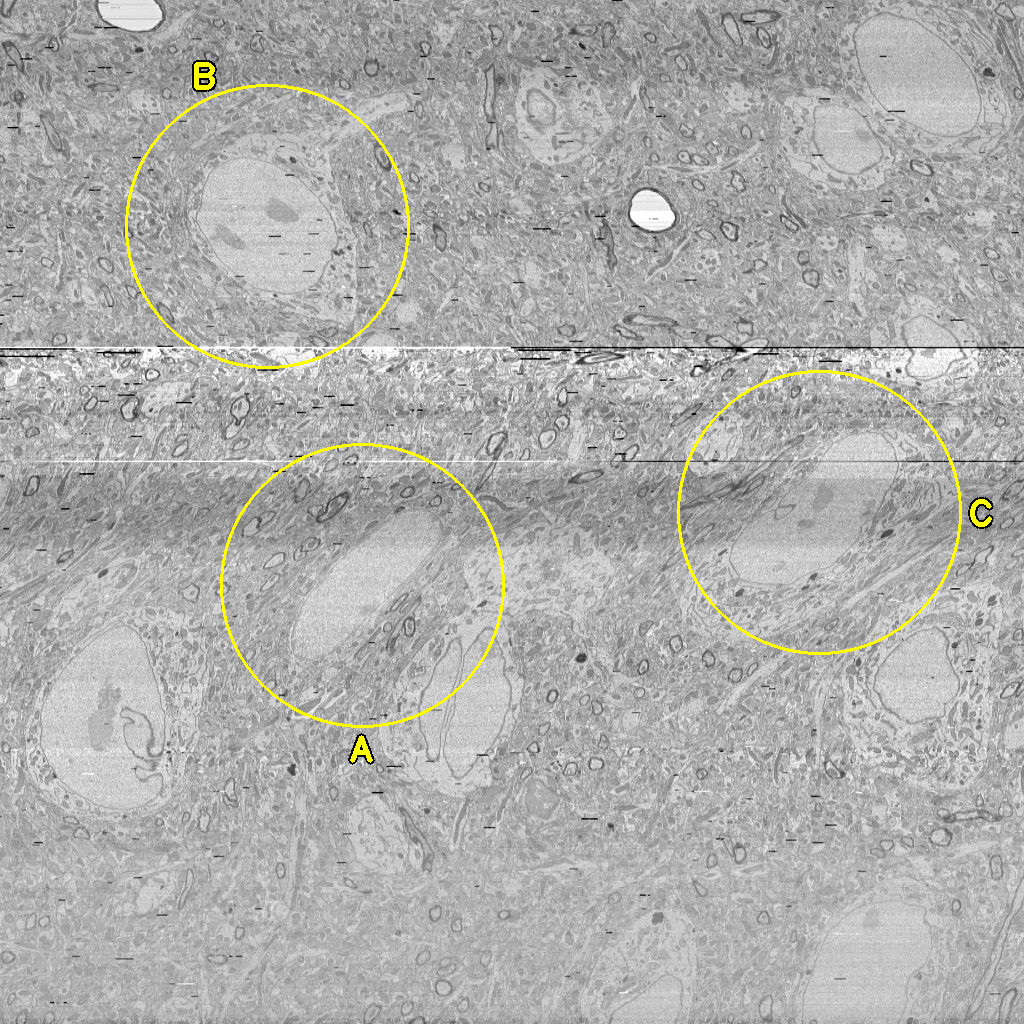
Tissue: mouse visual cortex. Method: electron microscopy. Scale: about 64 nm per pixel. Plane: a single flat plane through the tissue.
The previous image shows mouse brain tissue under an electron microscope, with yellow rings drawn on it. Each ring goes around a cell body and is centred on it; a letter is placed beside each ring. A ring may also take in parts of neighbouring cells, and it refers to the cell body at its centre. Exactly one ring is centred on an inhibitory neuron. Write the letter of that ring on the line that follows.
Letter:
C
